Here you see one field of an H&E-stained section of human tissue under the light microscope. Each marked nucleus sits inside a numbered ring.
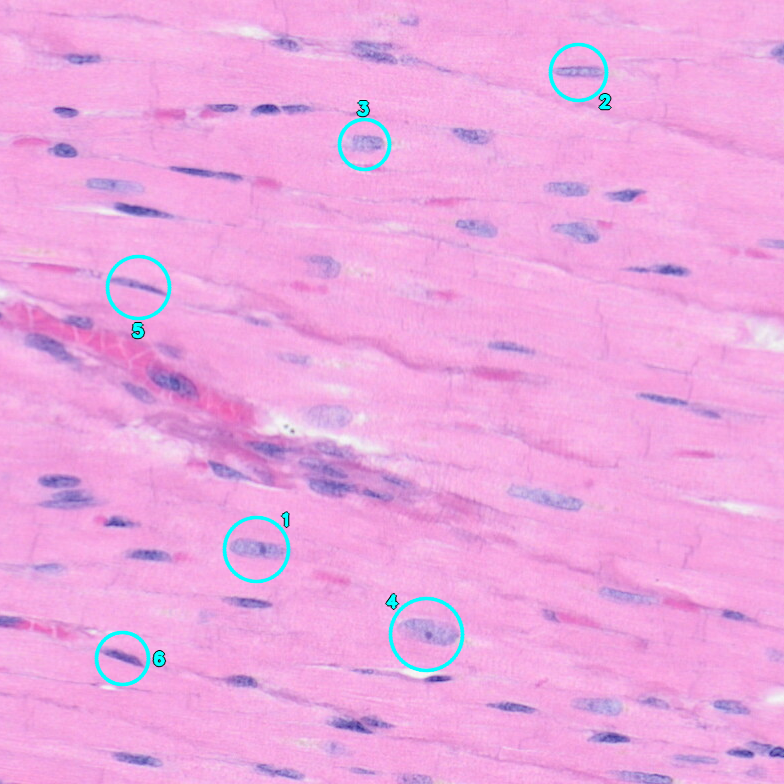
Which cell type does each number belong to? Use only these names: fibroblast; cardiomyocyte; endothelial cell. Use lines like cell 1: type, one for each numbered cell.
cell 1: cardiomyocyte
cell 2: cardiomyocyte
cell 3: cardiomyocyte
cell 4: cardiomyocyte
cell 5: endothelial cell
cell 6: endothelial cell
